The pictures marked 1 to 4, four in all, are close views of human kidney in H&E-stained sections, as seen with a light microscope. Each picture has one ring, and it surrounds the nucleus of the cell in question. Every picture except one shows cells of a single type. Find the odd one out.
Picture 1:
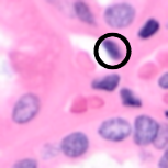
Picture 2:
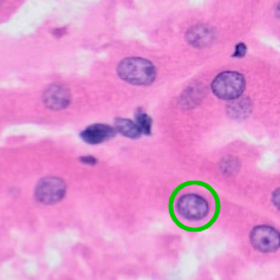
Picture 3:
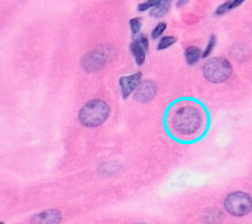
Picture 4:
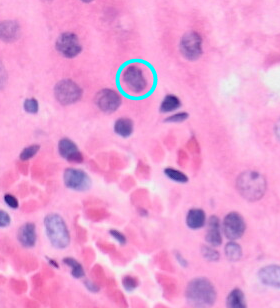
1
